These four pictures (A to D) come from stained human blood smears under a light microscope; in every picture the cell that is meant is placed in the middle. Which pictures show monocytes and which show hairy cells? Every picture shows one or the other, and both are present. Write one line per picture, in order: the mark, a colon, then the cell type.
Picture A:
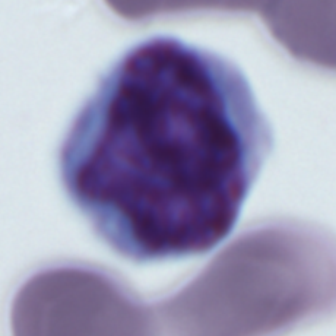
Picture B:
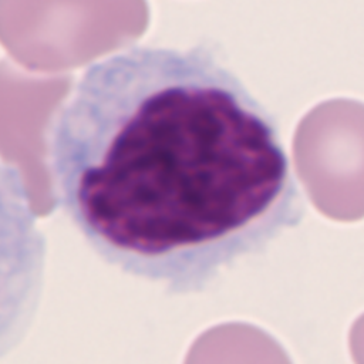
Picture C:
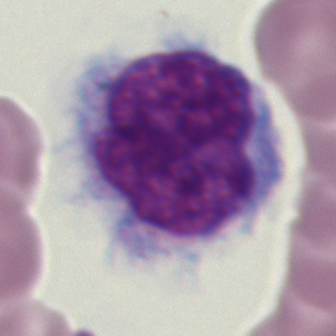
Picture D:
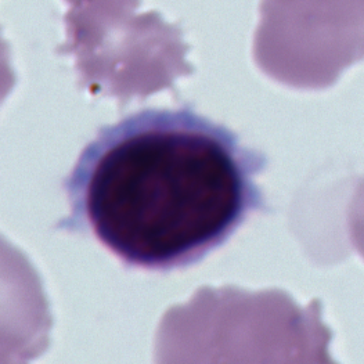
A: monocyte
B: hairy cell
C: monocyte
D: hairy cell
